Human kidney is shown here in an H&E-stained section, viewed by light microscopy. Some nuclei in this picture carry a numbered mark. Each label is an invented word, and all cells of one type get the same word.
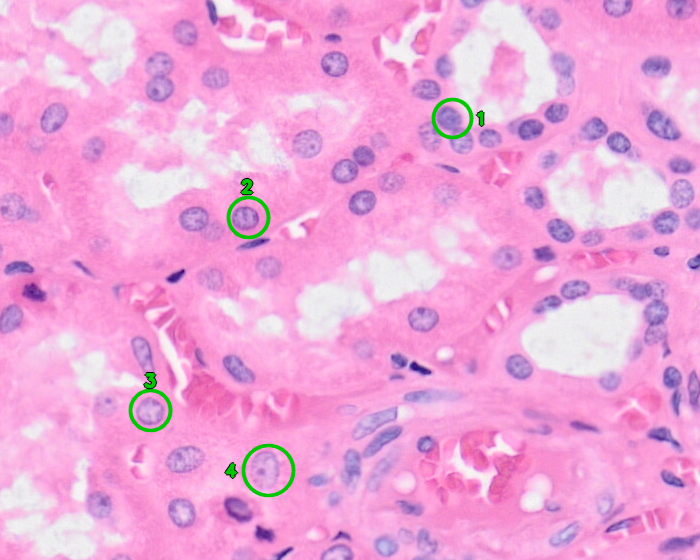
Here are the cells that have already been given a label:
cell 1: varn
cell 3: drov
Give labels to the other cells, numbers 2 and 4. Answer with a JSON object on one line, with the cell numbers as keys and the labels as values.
{"2": "drov", "4": "drov"}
